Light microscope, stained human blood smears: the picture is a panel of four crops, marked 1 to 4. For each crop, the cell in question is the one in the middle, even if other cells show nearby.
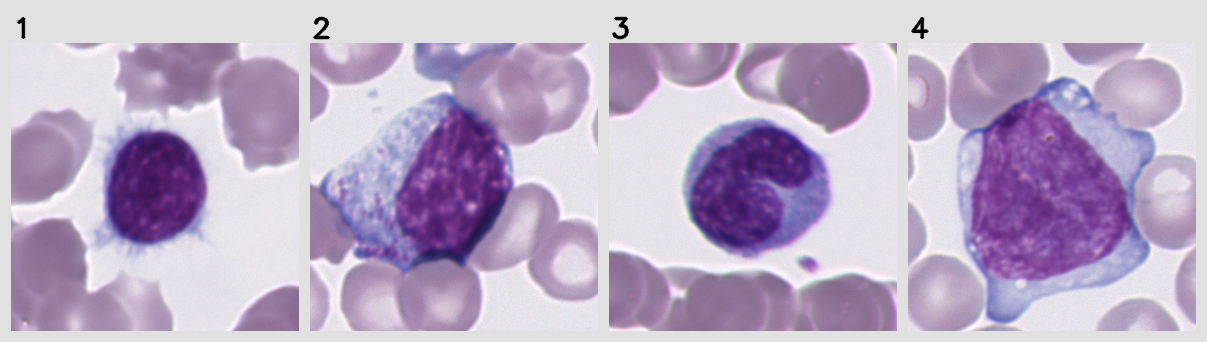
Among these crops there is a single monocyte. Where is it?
3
